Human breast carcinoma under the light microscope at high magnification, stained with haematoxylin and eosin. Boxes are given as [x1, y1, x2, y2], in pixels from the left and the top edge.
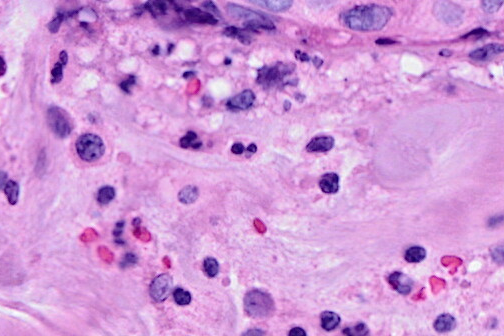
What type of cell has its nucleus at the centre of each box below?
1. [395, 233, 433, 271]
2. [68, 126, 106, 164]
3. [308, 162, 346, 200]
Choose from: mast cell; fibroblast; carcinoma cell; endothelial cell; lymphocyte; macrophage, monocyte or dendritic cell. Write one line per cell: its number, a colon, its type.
1: lymphocyte
2: mast cell
3: lymphocyte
